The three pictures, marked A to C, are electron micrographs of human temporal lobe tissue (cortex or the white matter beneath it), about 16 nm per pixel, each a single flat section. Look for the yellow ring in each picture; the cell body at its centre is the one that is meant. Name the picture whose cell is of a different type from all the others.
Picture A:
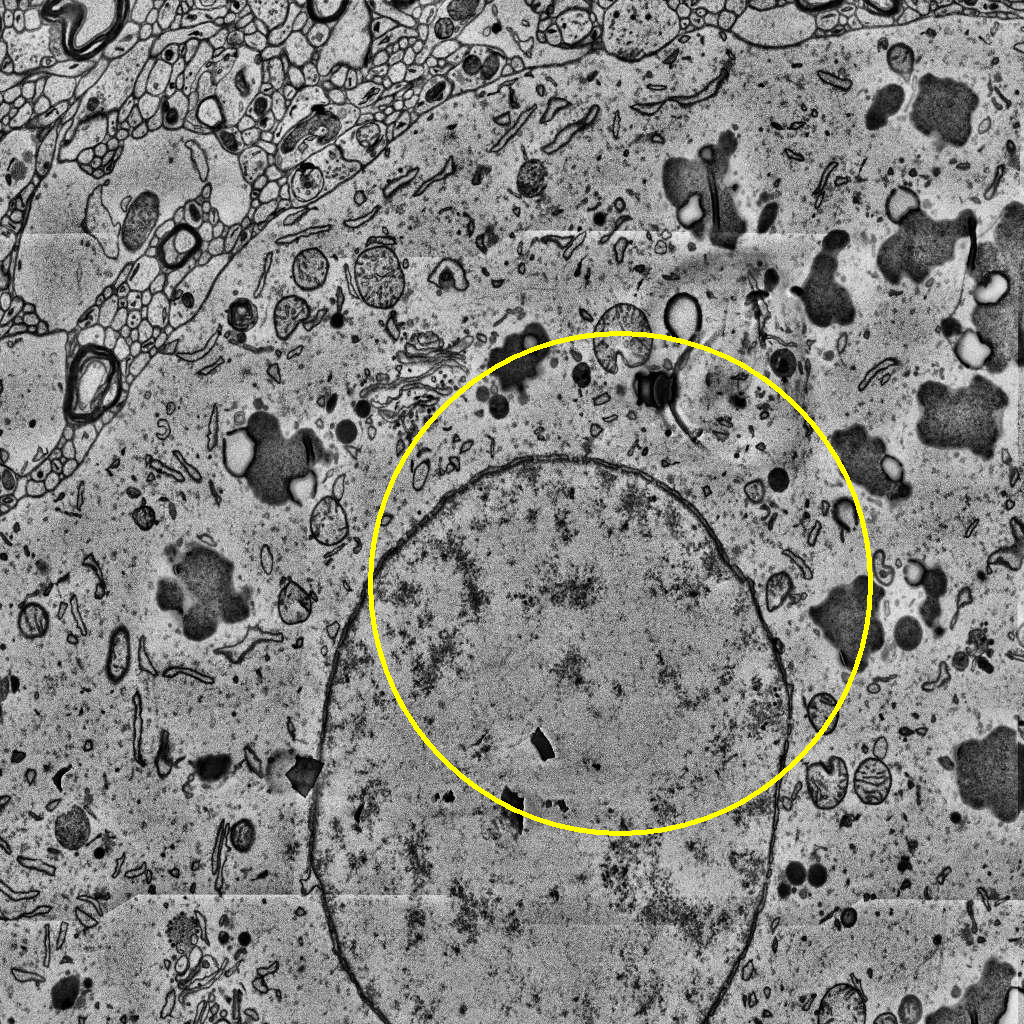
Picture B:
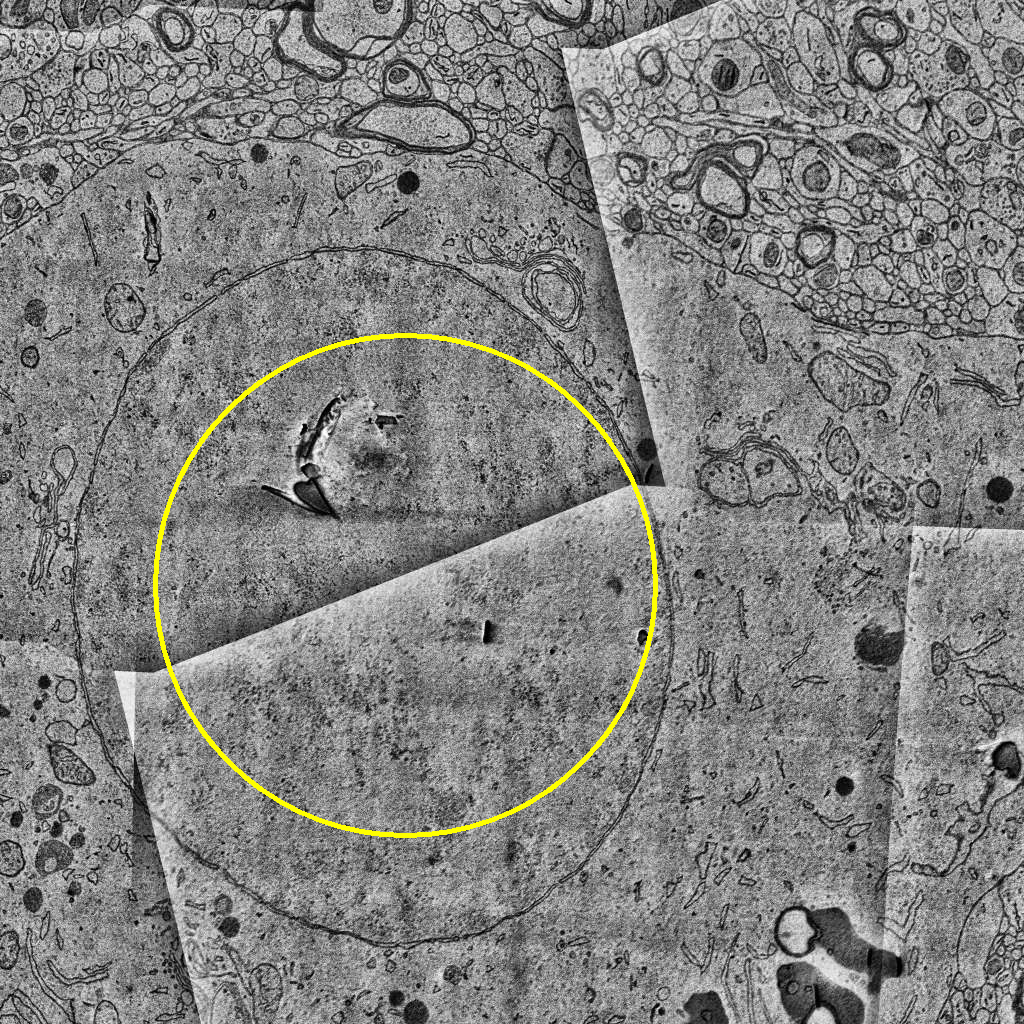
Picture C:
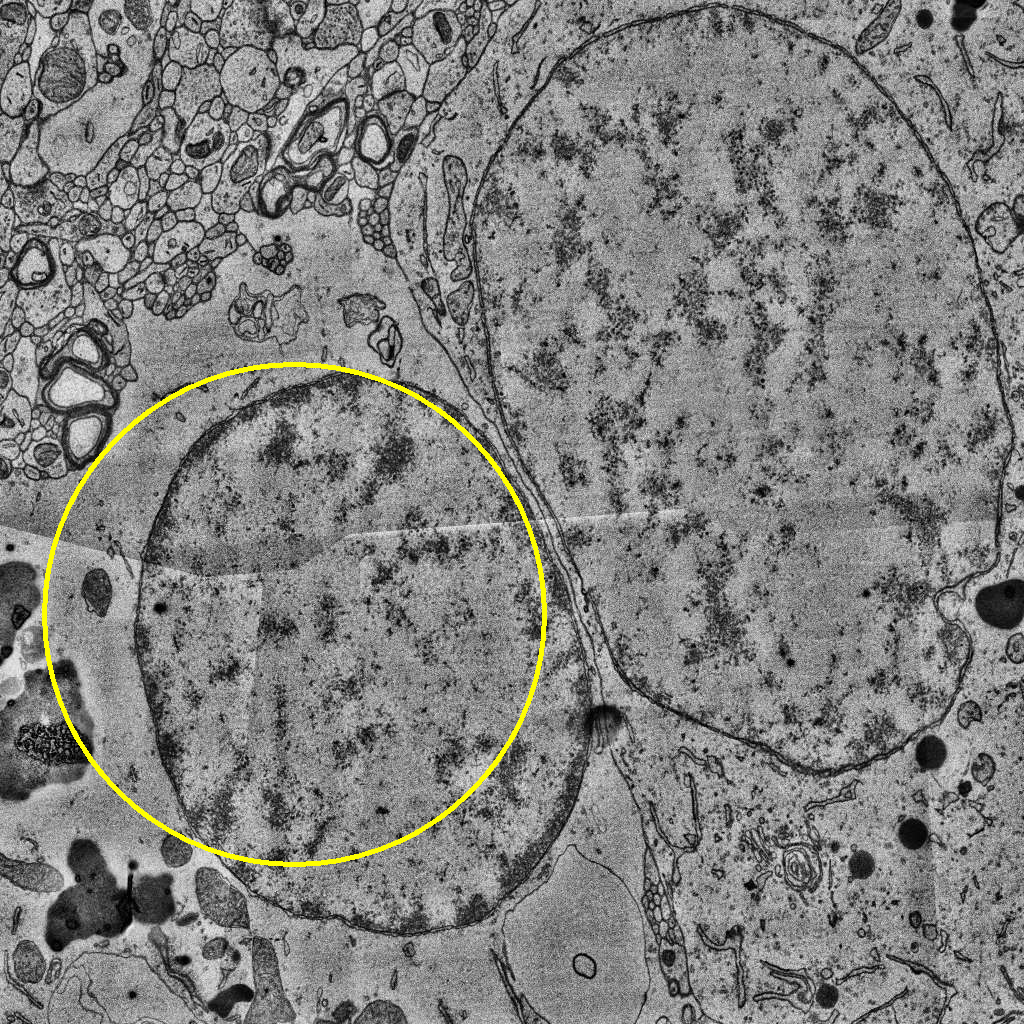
All pictures except C show pyramidal neurons; picture C shows an astrocyte.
